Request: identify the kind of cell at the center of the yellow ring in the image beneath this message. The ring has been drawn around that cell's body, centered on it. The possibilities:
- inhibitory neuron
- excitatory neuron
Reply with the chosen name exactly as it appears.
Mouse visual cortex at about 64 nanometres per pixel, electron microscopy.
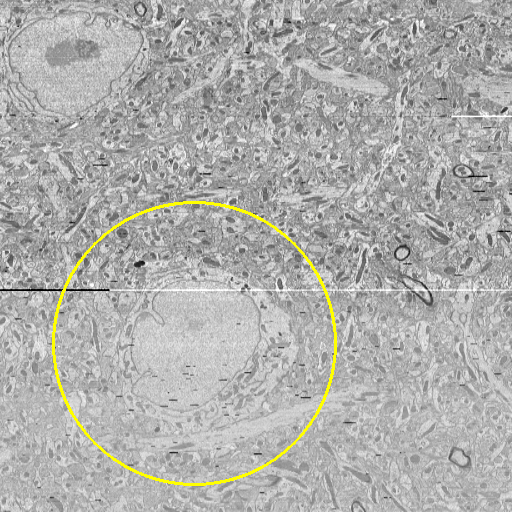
inhibitory neuron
